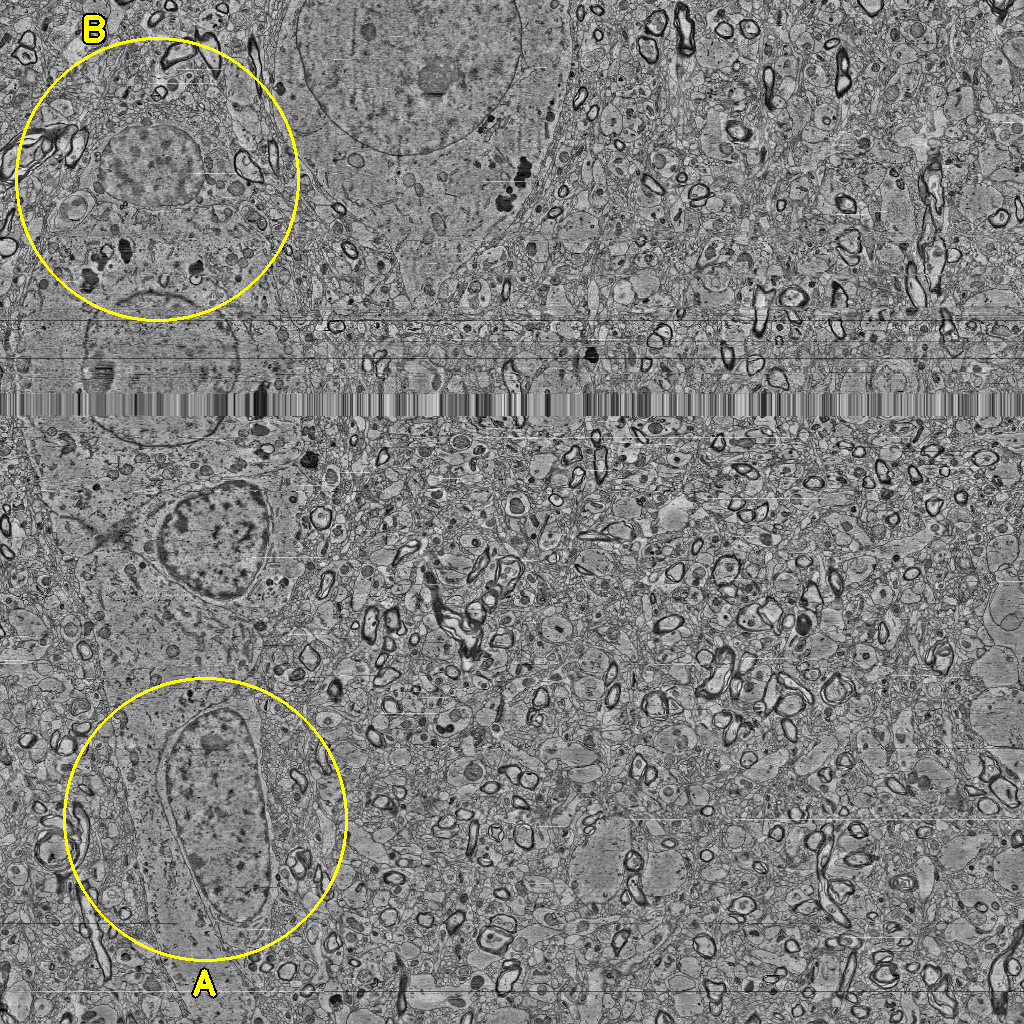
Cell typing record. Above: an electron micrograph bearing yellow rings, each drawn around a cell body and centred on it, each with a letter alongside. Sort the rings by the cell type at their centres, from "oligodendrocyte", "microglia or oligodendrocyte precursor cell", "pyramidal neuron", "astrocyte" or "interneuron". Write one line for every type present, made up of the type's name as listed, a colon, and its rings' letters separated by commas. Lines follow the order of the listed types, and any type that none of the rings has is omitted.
oligodendrocyte: B
microglia or oligodendrocyte precursor cell: A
